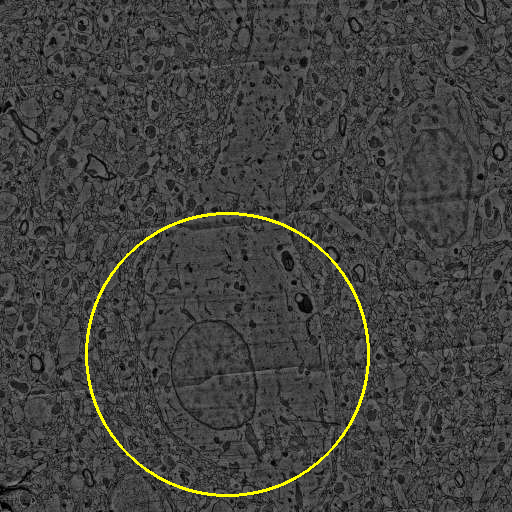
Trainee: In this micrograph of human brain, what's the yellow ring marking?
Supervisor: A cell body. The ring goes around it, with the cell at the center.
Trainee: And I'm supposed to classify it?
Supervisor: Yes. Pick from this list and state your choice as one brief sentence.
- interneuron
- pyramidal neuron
The cell at the ring's center is a pyramidal neuron.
